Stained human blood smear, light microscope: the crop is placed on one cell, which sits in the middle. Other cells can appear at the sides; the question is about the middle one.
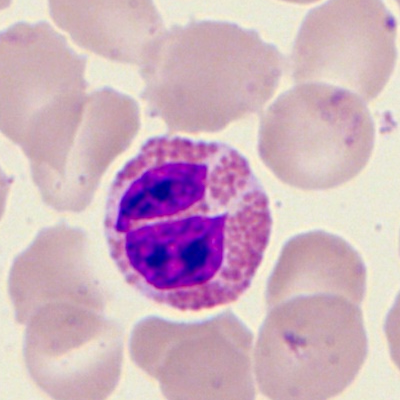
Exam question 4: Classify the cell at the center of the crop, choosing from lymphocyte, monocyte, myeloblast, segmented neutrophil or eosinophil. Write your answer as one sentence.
Answering briefly, the cell in the middle is an eosinophil.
